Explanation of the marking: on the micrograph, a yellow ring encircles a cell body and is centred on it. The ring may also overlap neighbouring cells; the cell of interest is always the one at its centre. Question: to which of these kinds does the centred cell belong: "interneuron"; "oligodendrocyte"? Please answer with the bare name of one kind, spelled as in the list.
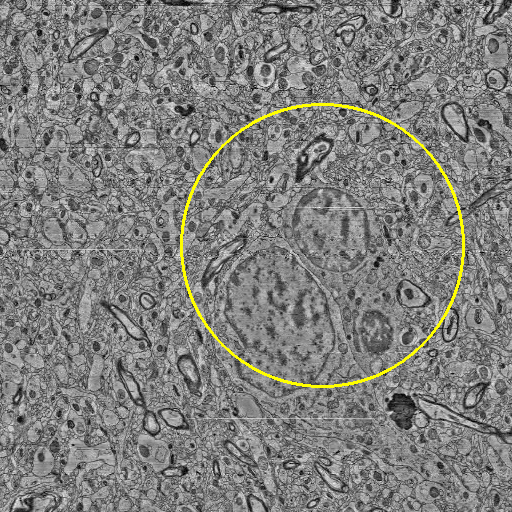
oligodendrocyte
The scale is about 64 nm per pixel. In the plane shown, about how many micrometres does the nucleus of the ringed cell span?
About 6 by 5 micrometers, in this plane.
